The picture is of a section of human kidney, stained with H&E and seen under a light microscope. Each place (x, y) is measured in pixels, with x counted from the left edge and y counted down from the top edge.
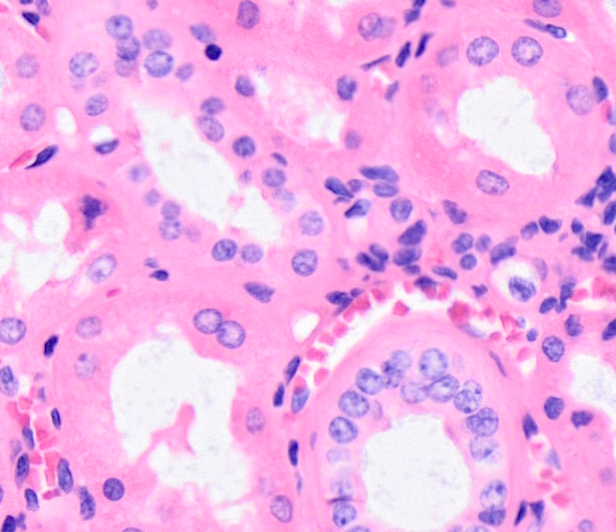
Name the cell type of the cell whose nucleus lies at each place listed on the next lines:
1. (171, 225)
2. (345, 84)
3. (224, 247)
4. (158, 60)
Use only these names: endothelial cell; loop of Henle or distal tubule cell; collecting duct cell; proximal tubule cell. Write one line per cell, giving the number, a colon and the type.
1: collecting duct cell
2: loop of Henle or distal tubule cell
3: collecting duct cell
4: collecting duct cell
